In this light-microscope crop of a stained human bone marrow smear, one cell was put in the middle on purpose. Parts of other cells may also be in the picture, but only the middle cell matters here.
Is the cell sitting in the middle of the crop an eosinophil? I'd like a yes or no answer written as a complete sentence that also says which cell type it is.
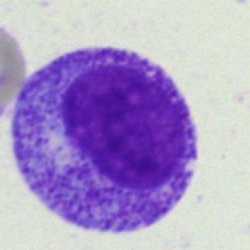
No, the middle one is a myelocyte rather than an eosinophil.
